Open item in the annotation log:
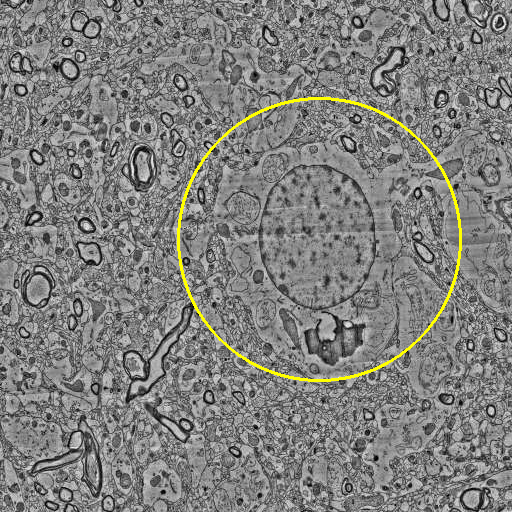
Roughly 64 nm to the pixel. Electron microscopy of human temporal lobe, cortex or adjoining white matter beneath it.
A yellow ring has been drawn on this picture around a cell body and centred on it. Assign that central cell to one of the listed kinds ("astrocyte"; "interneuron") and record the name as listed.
astrocyte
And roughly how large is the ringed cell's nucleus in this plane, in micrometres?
Approximately 9 by 7 micrometers in this plane.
